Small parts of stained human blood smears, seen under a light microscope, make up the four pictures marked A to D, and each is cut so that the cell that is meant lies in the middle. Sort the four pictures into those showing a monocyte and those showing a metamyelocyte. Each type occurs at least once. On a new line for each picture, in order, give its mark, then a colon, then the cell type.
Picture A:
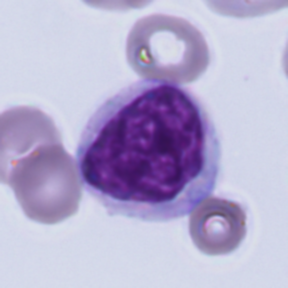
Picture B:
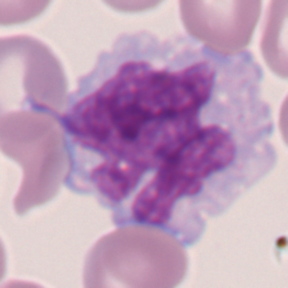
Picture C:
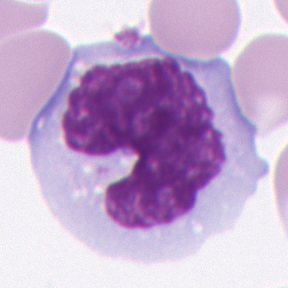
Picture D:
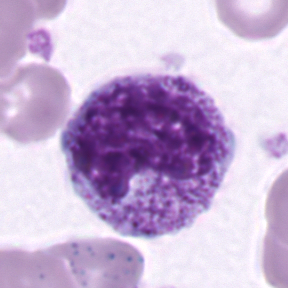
A: metamyelocyte
B: monocyte
C: monocyte
D: metamyelocyte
